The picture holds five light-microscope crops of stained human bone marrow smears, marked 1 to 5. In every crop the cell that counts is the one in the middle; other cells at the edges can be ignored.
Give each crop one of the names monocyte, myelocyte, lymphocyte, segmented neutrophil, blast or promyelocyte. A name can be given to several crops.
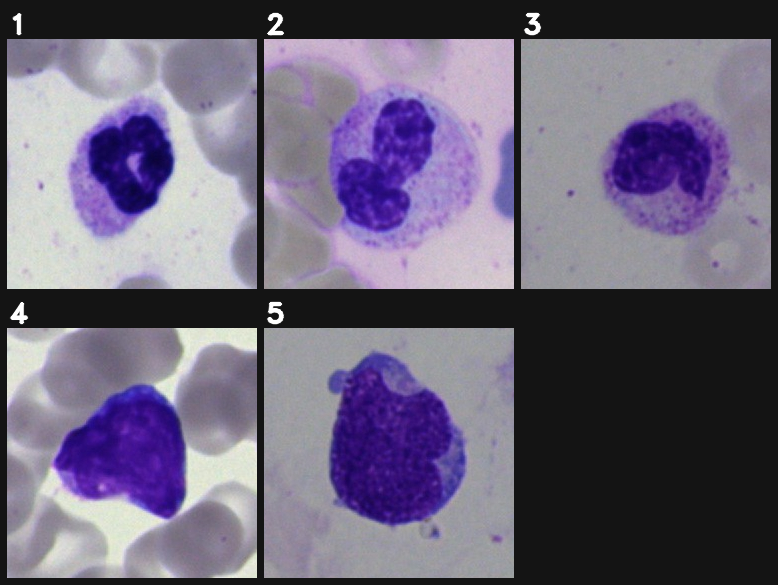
1: segmented neutrophil
2: segmented neutrophil
3: segmented neutrophil
4: blast
5: blast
